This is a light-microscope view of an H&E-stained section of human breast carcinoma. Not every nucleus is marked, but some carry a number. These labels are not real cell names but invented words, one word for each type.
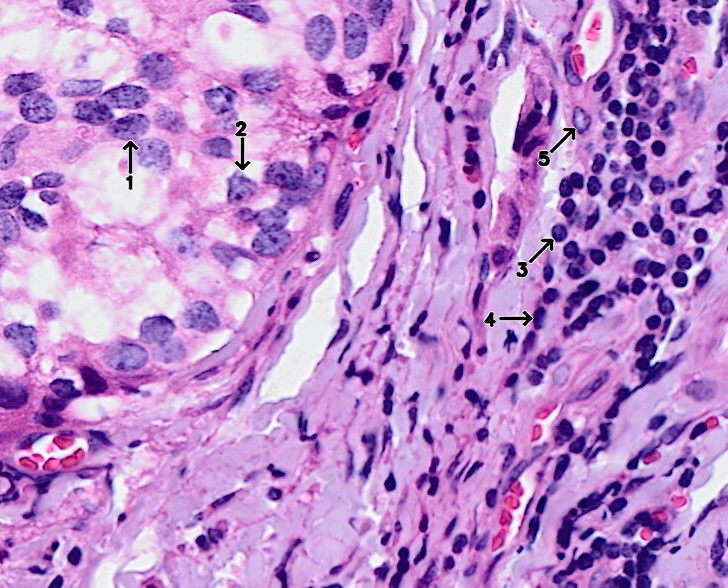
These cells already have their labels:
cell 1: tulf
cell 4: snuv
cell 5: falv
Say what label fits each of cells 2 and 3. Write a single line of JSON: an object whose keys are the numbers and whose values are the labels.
{"2": "tulf", "3": "snuv"}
